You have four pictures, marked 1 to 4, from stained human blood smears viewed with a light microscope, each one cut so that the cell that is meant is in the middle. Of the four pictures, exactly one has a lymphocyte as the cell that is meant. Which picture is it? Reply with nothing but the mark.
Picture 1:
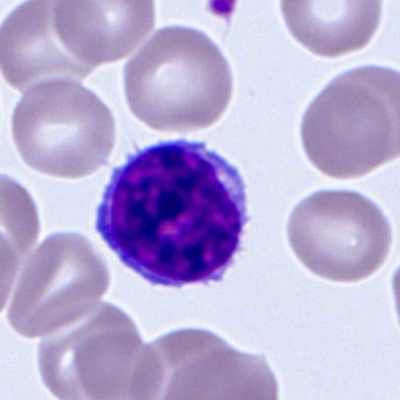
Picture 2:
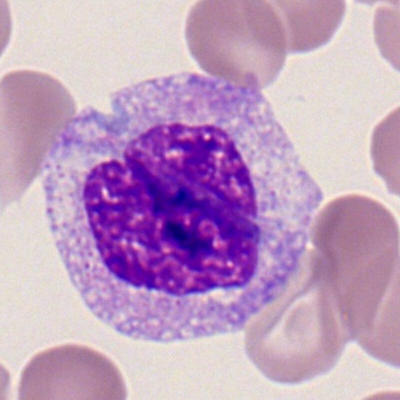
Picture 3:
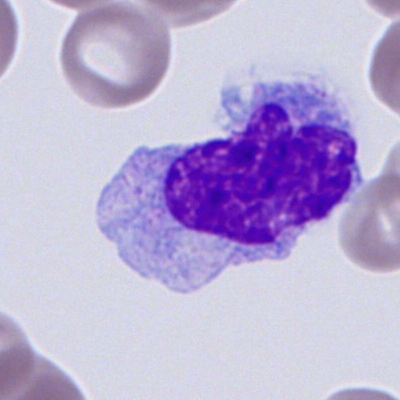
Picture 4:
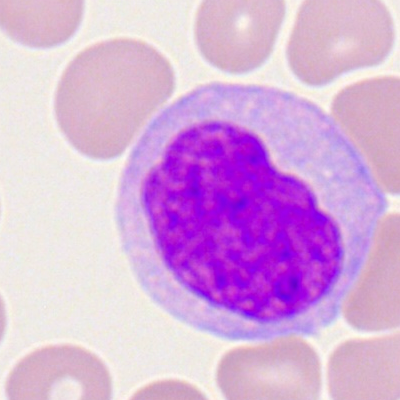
1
